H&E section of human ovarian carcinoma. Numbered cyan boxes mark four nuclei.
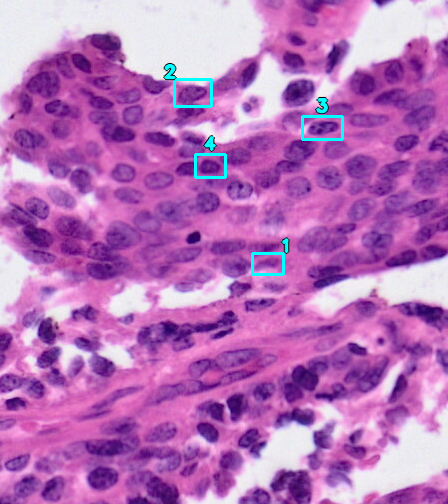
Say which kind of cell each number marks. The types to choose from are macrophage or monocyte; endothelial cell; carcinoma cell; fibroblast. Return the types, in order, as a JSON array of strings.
["carcinoma cell", "carcinoma cell", "macrophage or monocyte", "carcinoma cell"]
